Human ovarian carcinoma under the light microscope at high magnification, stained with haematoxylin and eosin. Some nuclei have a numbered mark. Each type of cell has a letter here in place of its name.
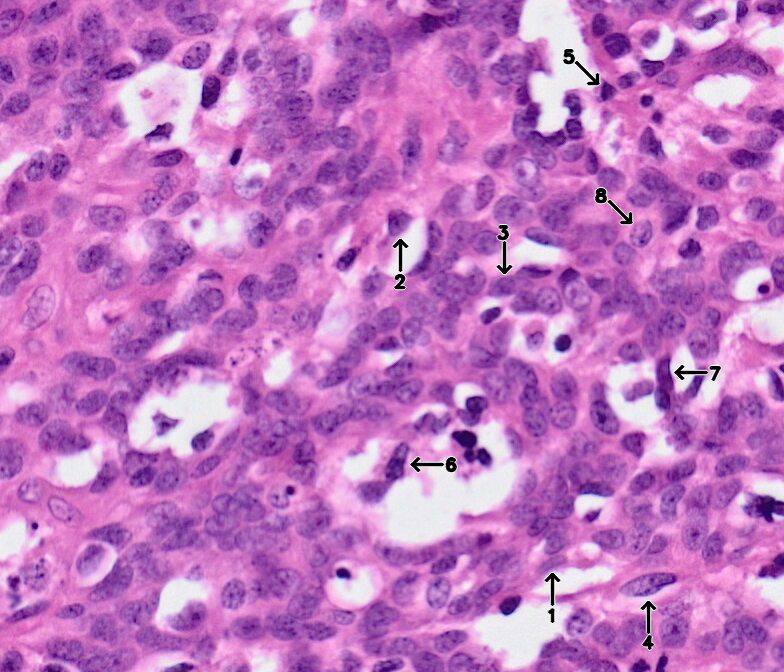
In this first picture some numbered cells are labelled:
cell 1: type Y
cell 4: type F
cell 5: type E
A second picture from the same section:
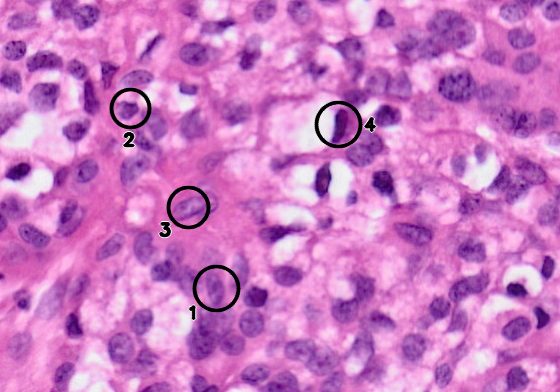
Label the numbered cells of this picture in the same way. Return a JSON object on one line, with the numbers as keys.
{"1": "type Y", "2": "type E", "3": "type F", "4": "type Y"}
